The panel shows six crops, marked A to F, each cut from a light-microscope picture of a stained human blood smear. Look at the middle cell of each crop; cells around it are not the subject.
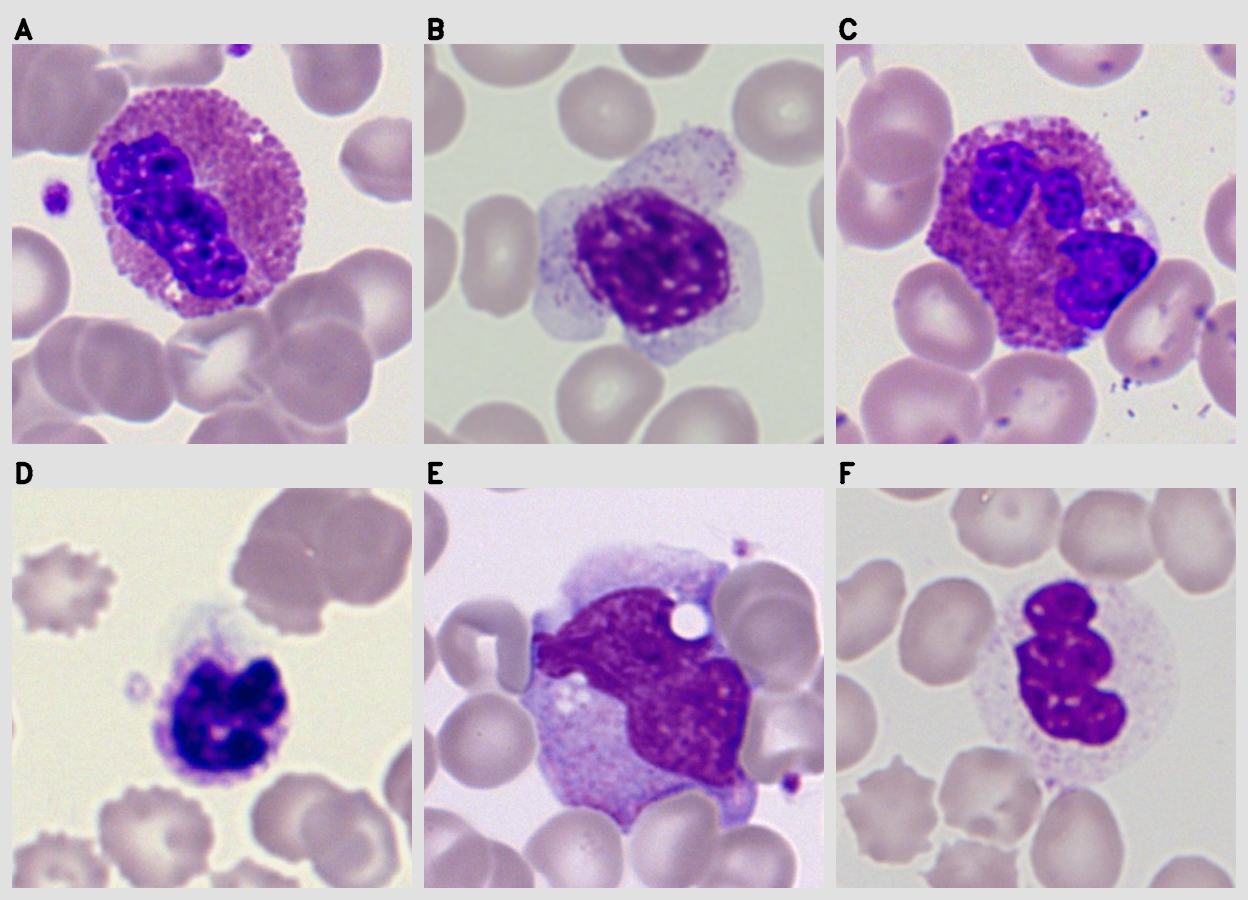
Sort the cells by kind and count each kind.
eosinophil: 2
monocyte: 2
neutrophil: 2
